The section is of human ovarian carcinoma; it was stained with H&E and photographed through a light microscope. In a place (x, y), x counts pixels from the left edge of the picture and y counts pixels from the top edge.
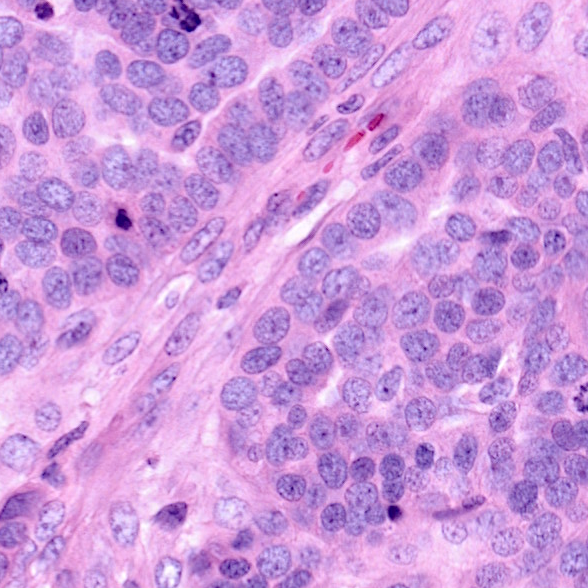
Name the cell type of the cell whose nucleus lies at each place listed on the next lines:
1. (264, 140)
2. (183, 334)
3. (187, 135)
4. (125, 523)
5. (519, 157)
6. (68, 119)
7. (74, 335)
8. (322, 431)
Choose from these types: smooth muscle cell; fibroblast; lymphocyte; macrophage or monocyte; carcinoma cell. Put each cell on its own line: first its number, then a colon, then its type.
1: carcinoma cell
2: fibroblast
3: macrophage or monocyte
4: fibroblast
5: carcinoma cell
6: carcinoma cell
7: fibroblast
8: carcinoma cell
